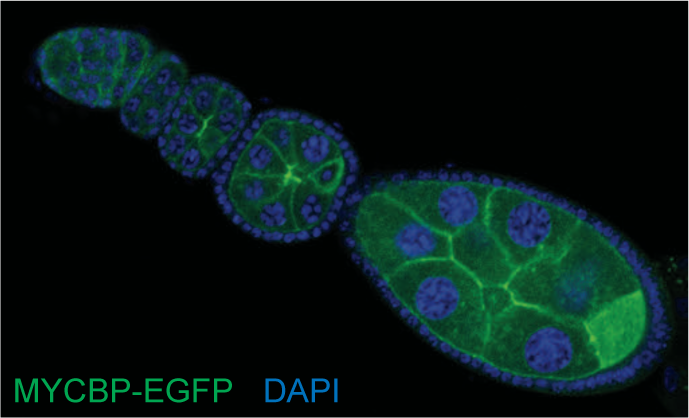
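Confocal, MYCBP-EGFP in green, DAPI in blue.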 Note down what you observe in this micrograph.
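This is a string of egg chambers from a fly ovary, growing larger from left to right. Each chamber is a ball of cells: in its middle sit a handful of big cells with very large round blue nuclei, the nurse cells, and around them runs a thin, single layer of small cells with small blue nuclei, the follicle cells. Green fills the cytoplasm of the large central cells and outlines their borders brightly. In the biggest chamber at right, one cell at the far end, the developing oocyte, glows more strongly green than its neighbours. The outer layer shows only faint green.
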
